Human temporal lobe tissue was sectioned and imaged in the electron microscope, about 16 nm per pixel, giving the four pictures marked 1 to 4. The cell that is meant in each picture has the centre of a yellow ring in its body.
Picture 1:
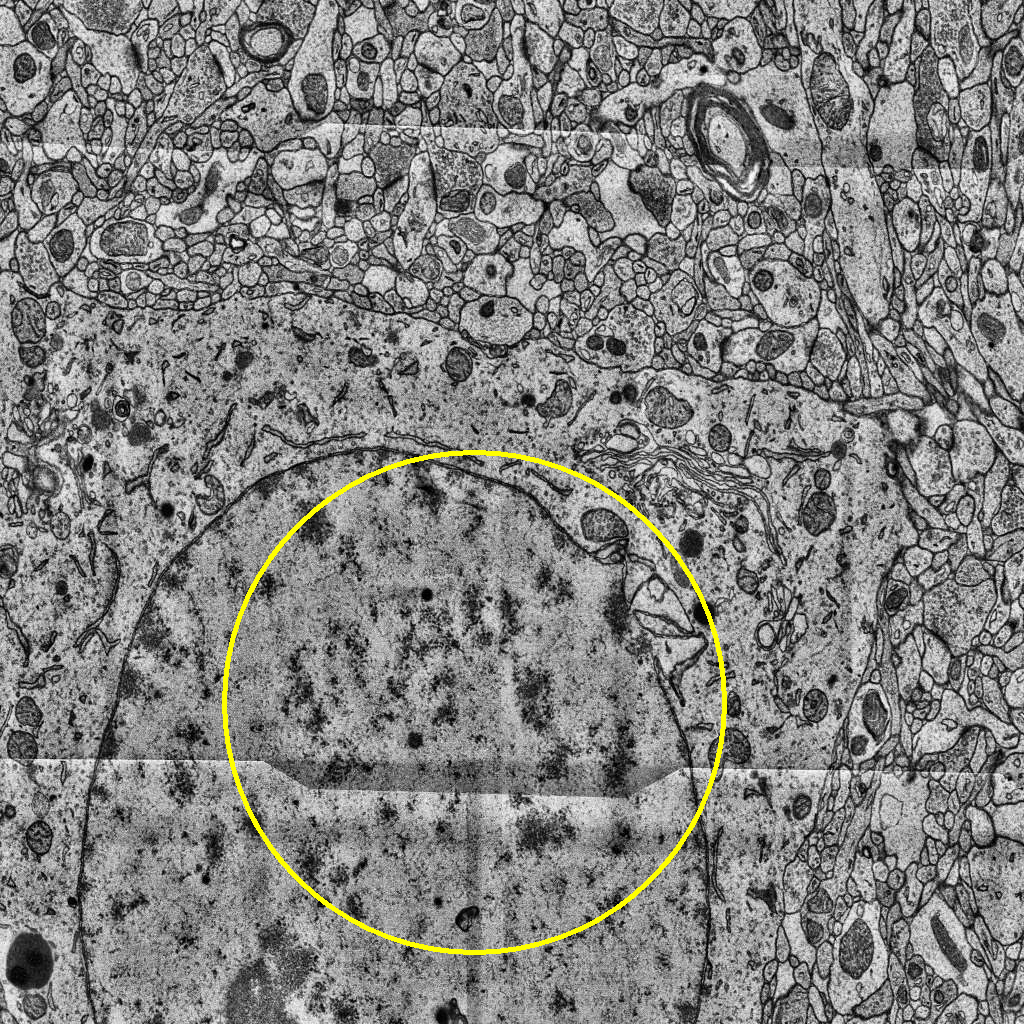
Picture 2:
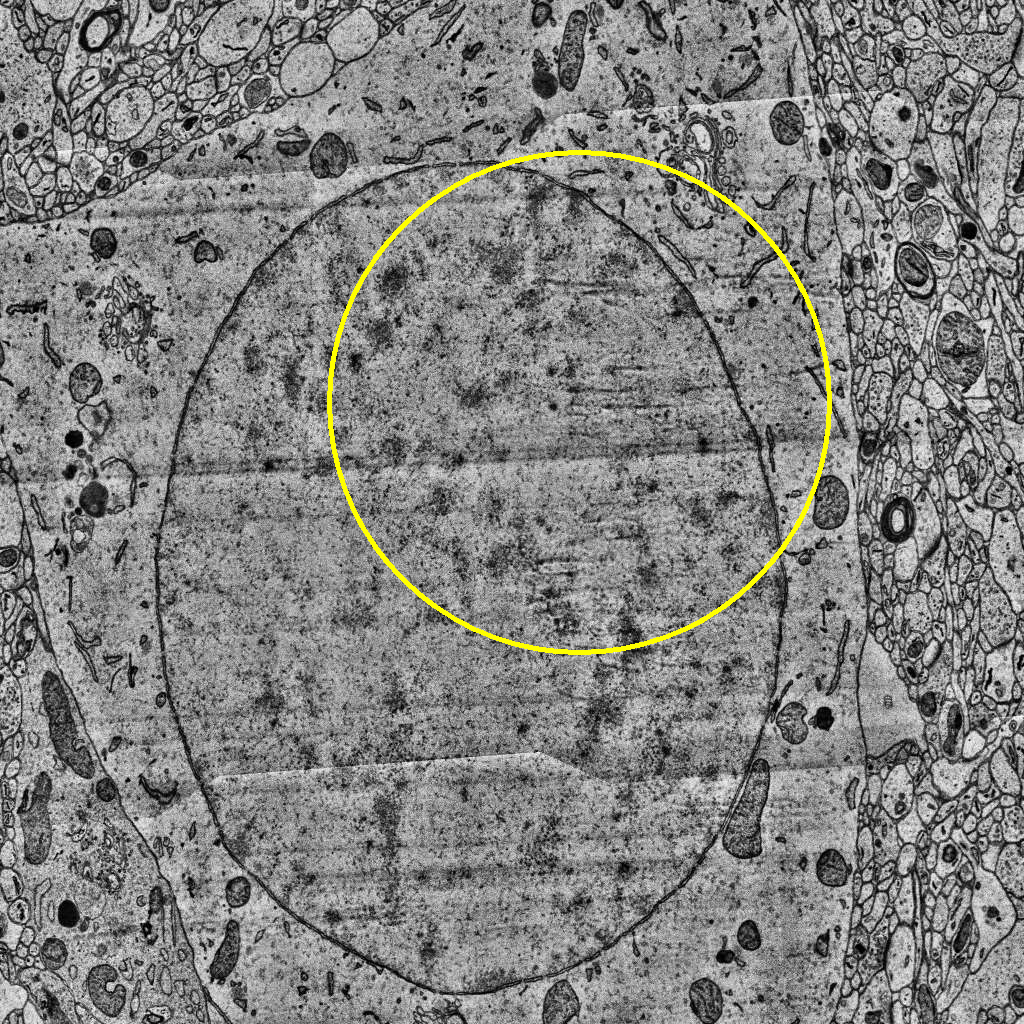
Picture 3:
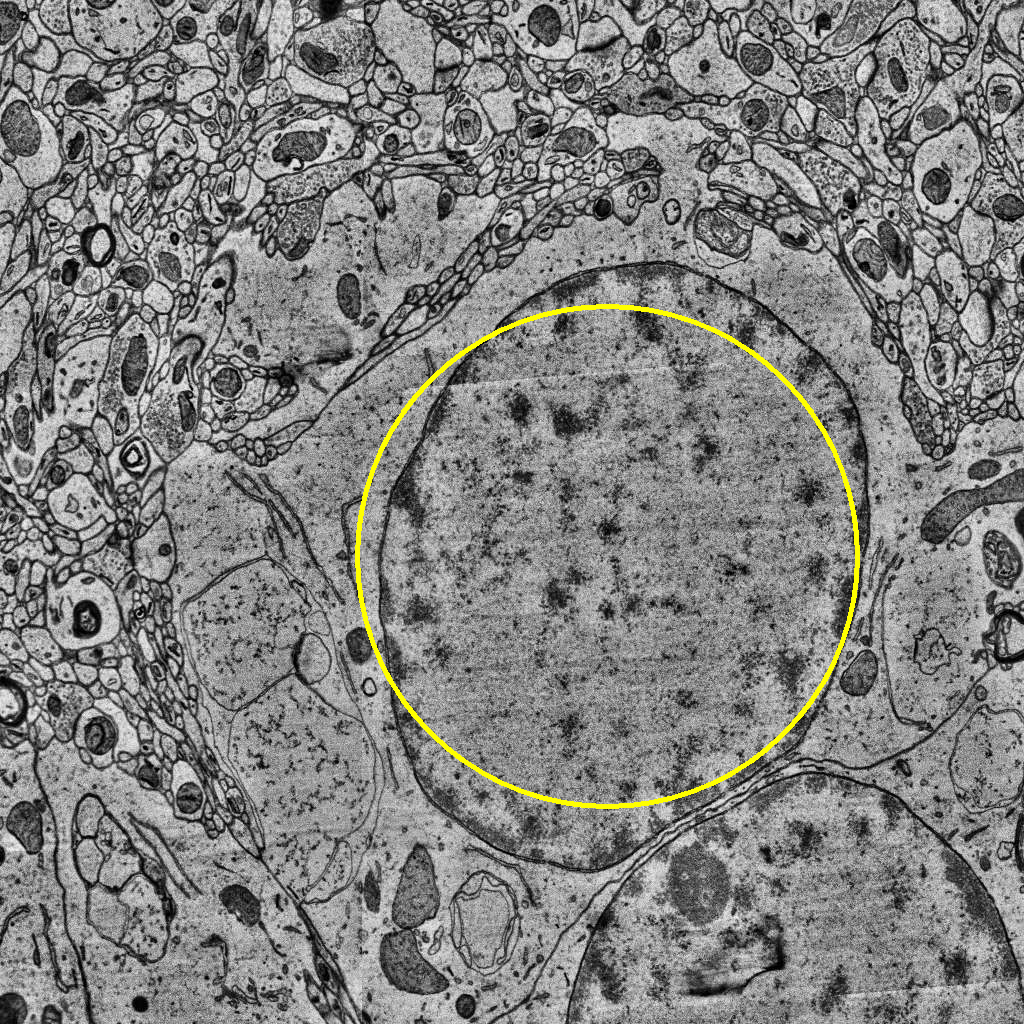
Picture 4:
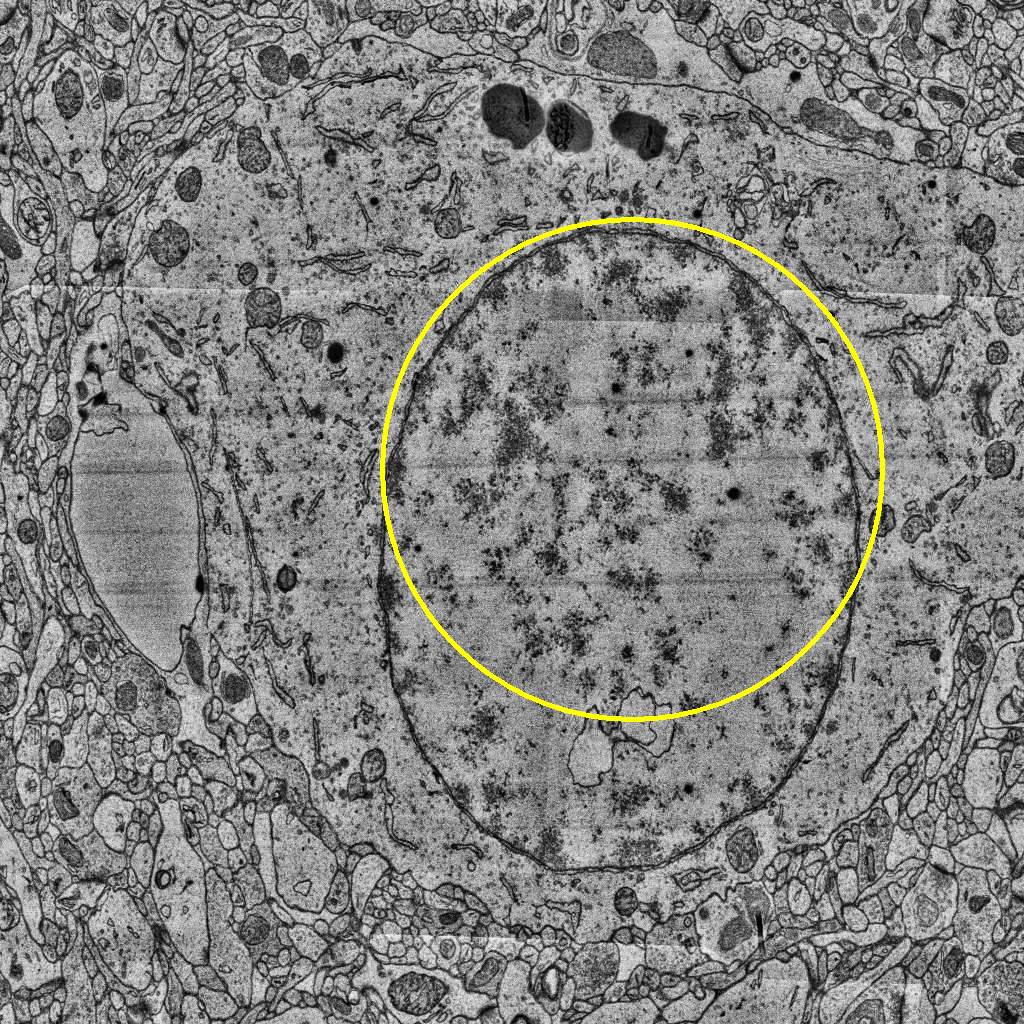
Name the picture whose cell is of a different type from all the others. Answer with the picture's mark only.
3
